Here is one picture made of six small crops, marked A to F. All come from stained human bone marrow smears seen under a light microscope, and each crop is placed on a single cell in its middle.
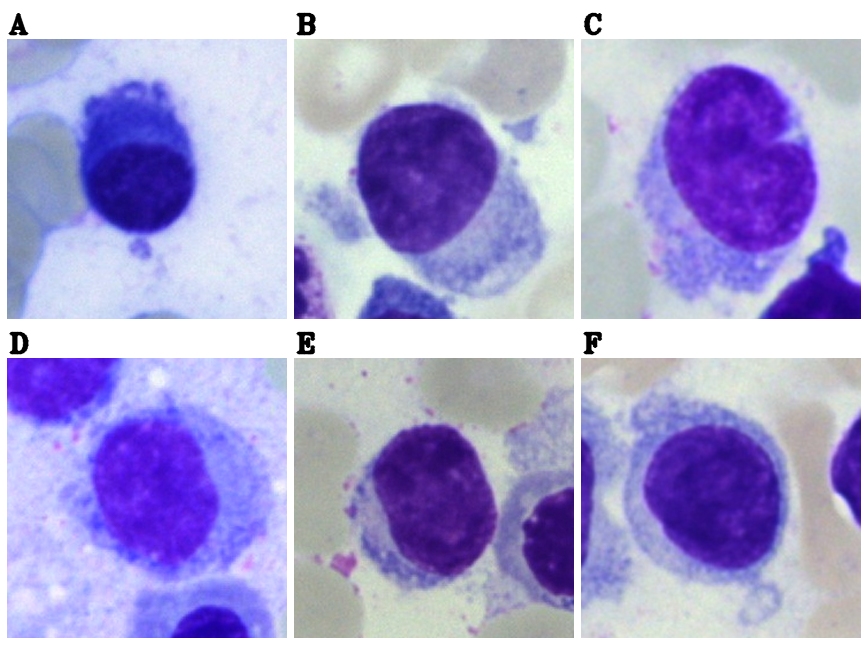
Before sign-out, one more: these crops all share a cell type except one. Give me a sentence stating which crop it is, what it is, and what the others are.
The central cell of crop A is a plasma cell, while the other crops show hairy cells.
